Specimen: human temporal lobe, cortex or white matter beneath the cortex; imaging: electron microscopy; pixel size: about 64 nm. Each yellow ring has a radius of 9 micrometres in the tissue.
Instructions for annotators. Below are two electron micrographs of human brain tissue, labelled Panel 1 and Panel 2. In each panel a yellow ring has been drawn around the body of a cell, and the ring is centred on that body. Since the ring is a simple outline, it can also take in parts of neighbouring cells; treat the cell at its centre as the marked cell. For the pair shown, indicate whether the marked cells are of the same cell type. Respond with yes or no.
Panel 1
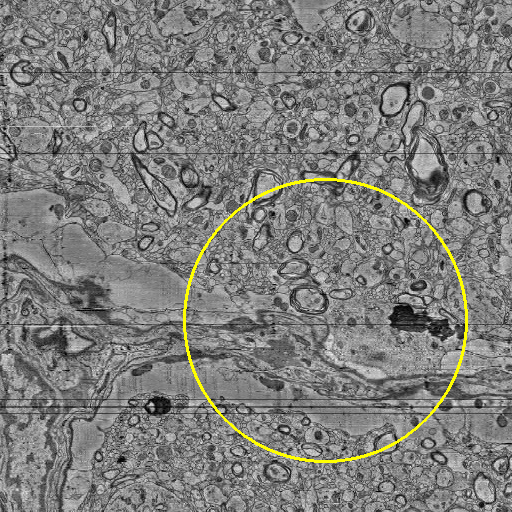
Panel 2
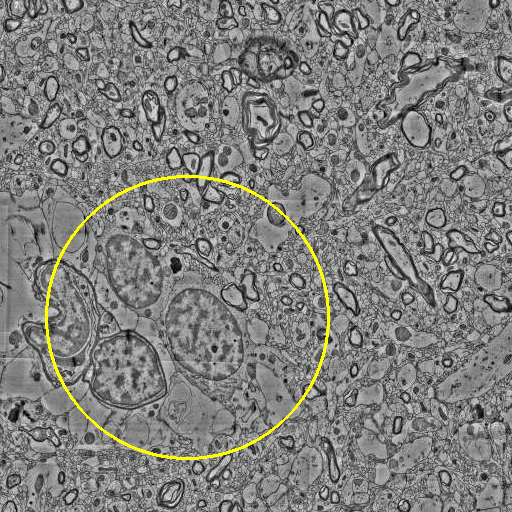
yes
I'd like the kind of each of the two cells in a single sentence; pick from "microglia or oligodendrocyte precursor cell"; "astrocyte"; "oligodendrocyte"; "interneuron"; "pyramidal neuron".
The ring centre holds an oligodendrocyte in each of the two pictures.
